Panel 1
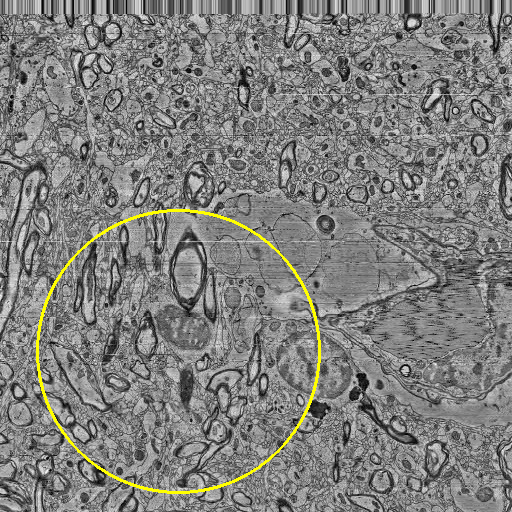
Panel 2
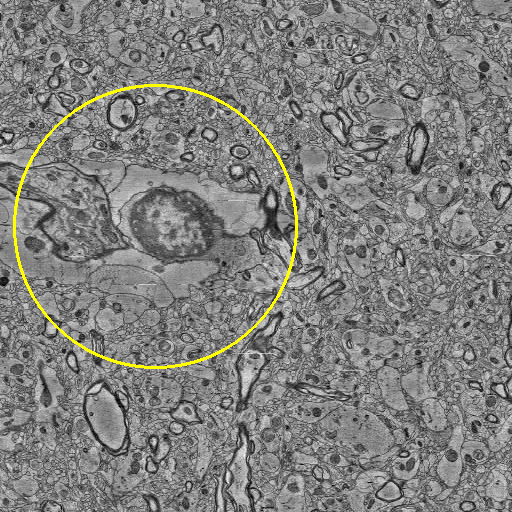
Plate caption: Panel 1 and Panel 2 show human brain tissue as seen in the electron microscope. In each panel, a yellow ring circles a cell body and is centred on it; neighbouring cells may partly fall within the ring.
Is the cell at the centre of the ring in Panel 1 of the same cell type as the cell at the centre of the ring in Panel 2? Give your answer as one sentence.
Yes, the two cells are of the same type.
